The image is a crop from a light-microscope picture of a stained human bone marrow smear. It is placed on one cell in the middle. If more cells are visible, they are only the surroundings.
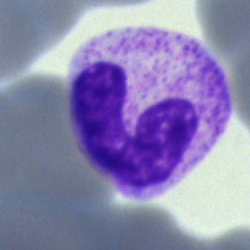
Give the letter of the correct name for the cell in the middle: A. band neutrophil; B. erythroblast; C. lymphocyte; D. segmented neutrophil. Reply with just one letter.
A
